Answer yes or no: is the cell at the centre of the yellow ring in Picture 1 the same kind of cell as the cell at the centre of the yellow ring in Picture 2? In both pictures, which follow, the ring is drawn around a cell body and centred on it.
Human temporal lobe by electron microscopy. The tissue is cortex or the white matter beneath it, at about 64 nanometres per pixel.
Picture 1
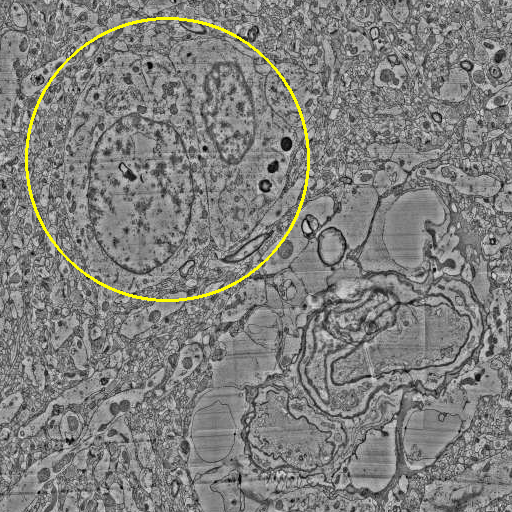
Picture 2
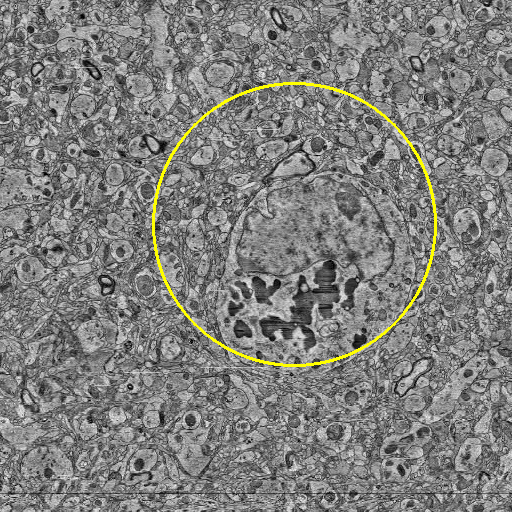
no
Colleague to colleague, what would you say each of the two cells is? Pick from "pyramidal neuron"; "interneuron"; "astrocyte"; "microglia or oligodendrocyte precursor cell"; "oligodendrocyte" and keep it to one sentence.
The cell in the first picture is a pyramidal neuron; the second picture's cell is an interneuron.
